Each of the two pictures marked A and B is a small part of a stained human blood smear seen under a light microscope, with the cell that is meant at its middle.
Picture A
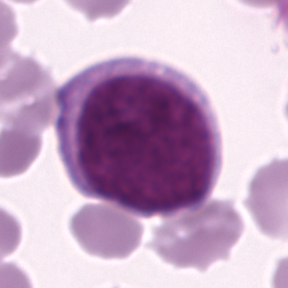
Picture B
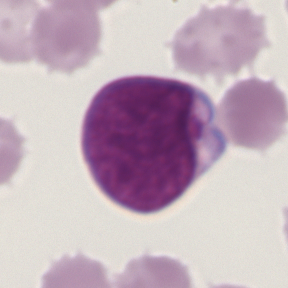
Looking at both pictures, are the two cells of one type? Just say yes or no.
yes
